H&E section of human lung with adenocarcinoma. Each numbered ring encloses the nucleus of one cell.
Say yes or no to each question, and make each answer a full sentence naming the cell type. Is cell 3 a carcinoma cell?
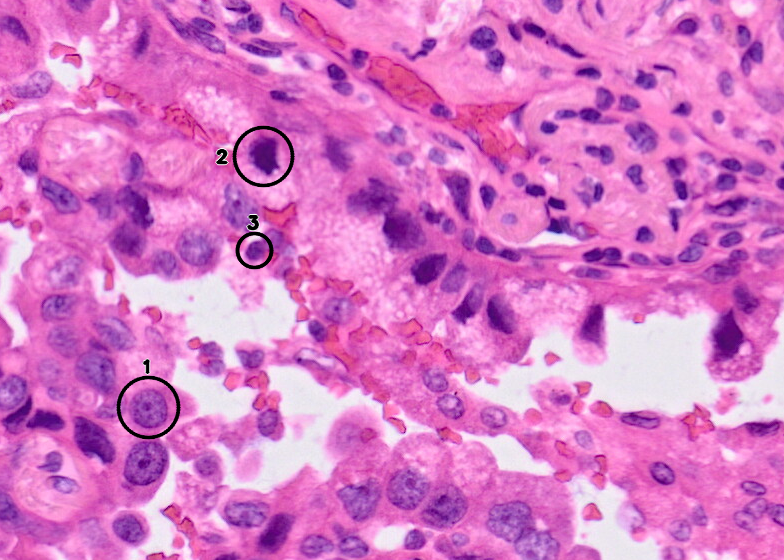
No, it is a lymphocyte, rather than a carcinoma cell, that carries number 3.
